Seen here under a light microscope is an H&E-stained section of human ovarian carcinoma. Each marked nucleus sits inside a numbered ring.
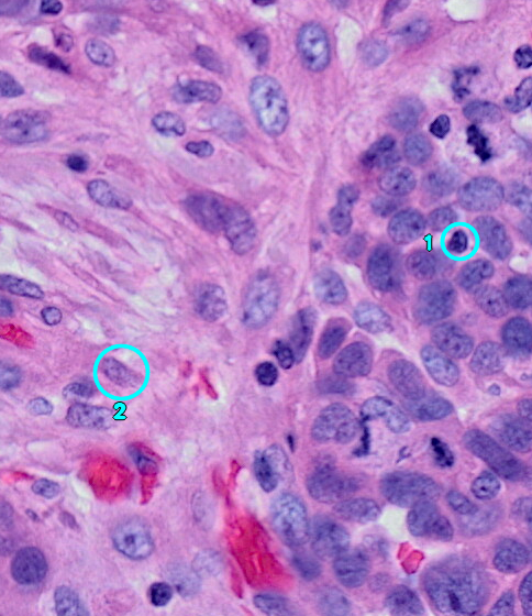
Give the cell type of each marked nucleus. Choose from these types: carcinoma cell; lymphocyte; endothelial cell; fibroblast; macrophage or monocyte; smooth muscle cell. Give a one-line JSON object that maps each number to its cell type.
{"1": "lymphocyte", "2": "fibroblast"}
